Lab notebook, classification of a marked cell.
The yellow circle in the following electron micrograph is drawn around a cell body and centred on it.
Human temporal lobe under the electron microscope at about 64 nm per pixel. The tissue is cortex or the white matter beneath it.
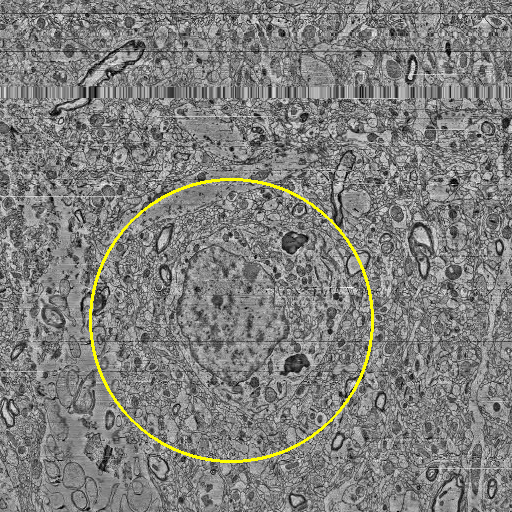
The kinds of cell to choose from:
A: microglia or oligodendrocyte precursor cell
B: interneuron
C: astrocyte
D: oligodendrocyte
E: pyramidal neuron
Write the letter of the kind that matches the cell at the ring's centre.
B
